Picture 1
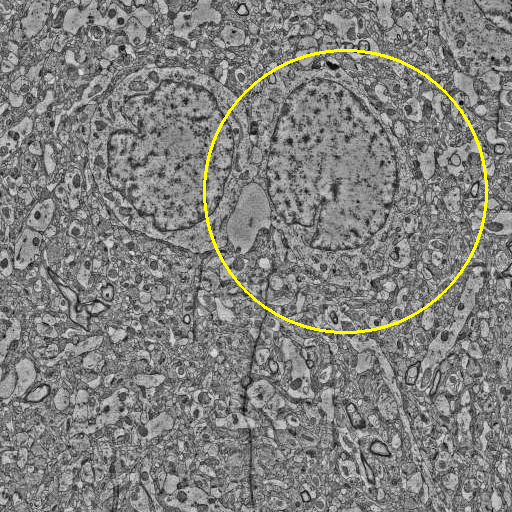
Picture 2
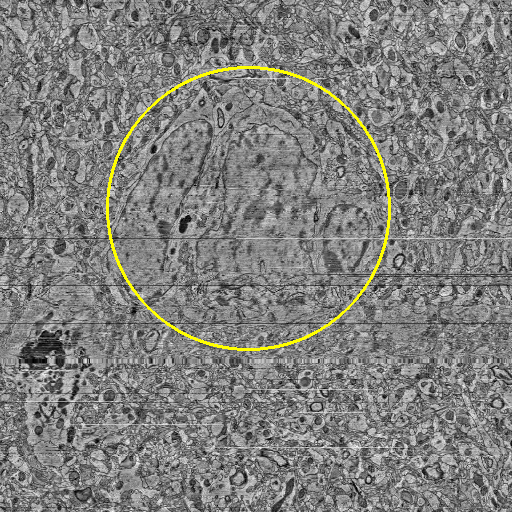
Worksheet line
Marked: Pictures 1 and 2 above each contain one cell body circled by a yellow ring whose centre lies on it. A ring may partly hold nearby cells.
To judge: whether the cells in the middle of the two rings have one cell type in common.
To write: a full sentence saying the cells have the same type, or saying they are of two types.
The cells in the middle of the rings in Picture 1 and Picture 2 have the same type.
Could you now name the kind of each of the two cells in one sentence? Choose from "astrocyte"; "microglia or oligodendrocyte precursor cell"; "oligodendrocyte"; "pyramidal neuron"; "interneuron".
In the first picture and in the second, the ring is centred on an interneuron.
